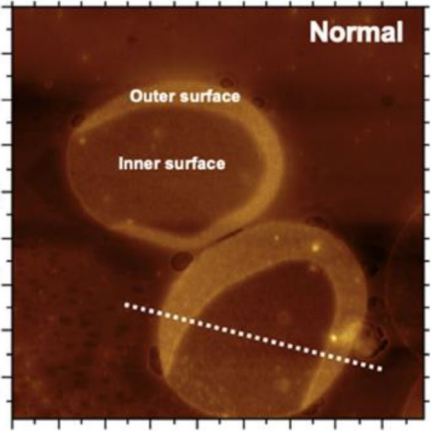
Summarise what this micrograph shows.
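This height image shows two erythrocyte membrane ghosts lying flat on a smooth substrate. Each ghost is an oval, anucleate outline without any internal organelles. The upper ghost and the lower ghost touch each other, and a few small bright dots are scattered over the membranes. Around them the background is darker and fairly even, with a few small dark pits.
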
